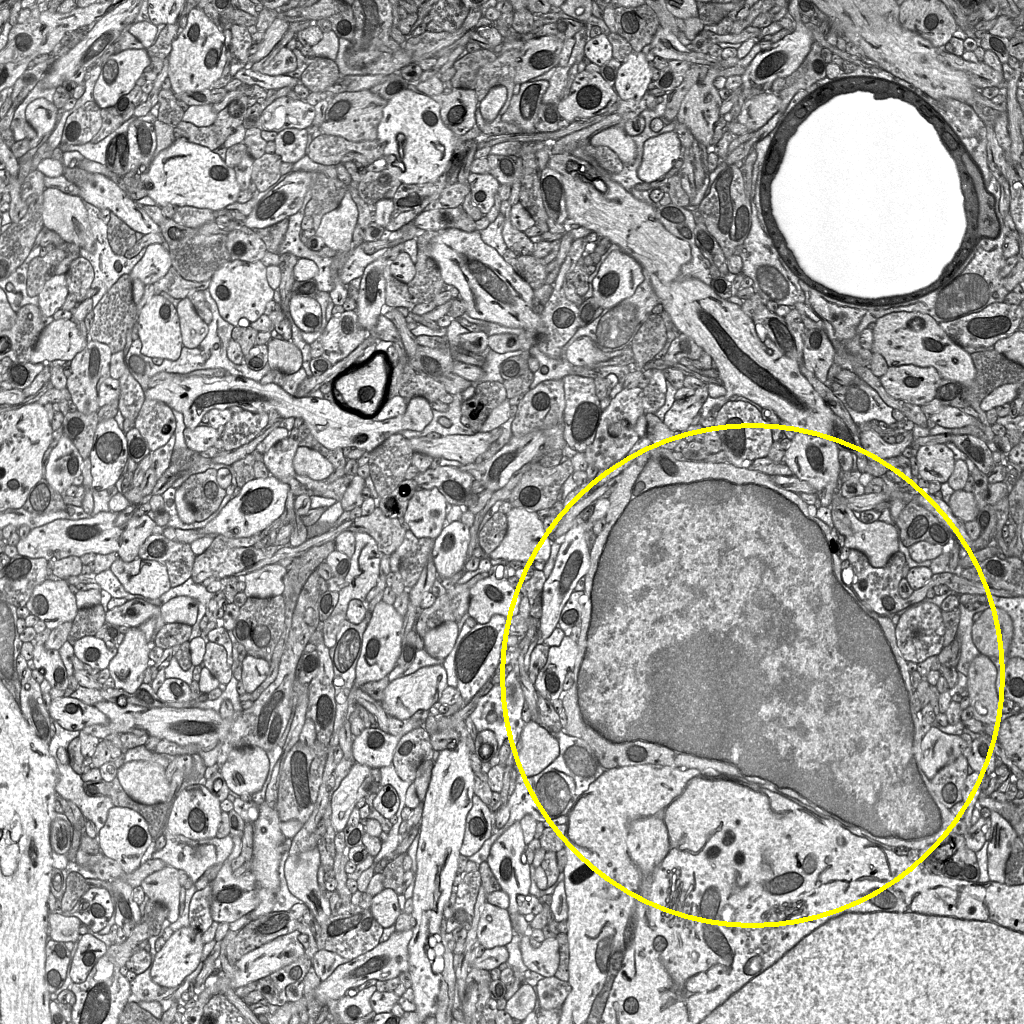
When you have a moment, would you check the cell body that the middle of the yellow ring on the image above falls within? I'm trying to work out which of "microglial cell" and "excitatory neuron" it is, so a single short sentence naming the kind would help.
This cell body belongs to a microglial cell.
